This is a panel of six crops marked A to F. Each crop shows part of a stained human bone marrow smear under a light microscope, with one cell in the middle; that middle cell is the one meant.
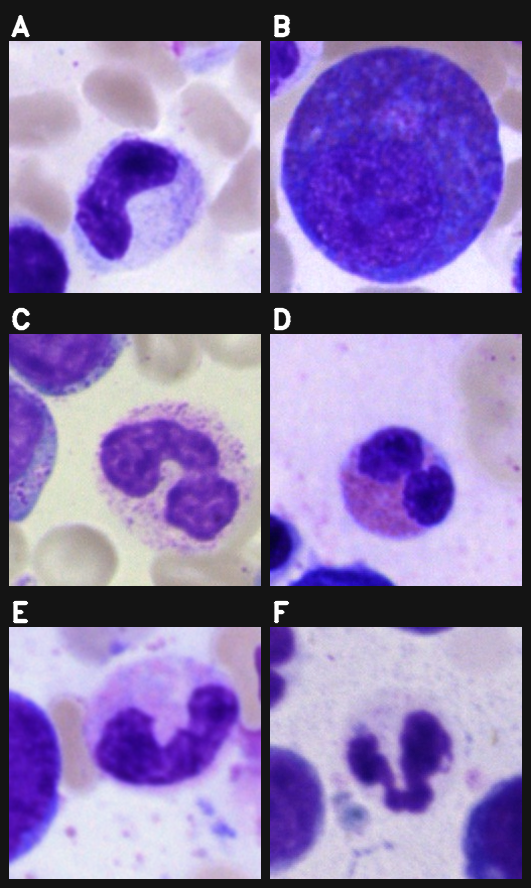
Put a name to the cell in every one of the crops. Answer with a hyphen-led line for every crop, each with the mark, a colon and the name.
- A: band neutrophil
- B: eosinophil
- C: segmented neutrophil
- D: eosinophil
- E: band neutrophil
- F: segmented neutrophil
